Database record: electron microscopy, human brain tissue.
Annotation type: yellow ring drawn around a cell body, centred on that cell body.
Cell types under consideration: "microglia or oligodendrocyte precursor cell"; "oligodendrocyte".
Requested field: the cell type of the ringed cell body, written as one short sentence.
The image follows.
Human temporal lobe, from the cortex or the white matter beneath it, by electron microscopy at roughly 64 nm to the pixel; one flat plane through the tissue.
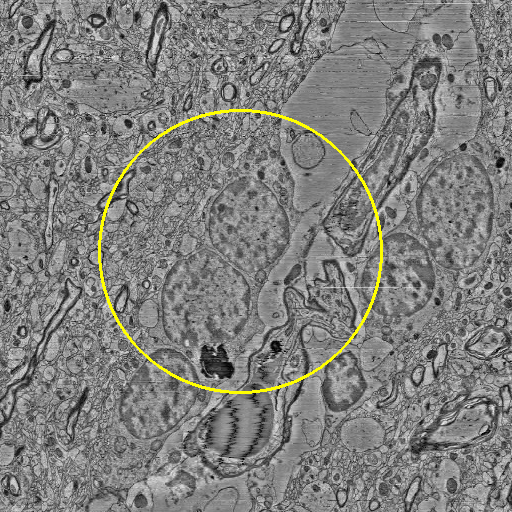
The ringed cell body represents an oligodendrocyte.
